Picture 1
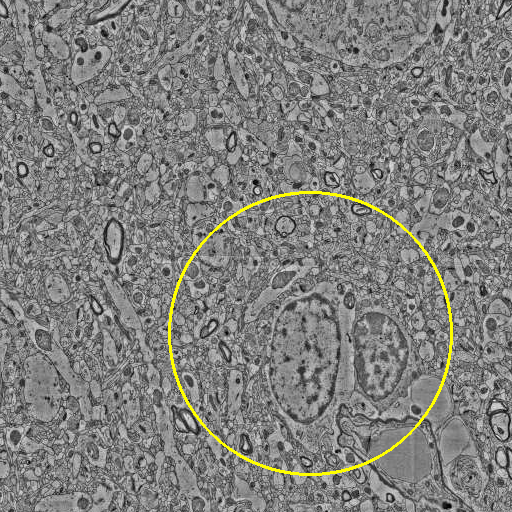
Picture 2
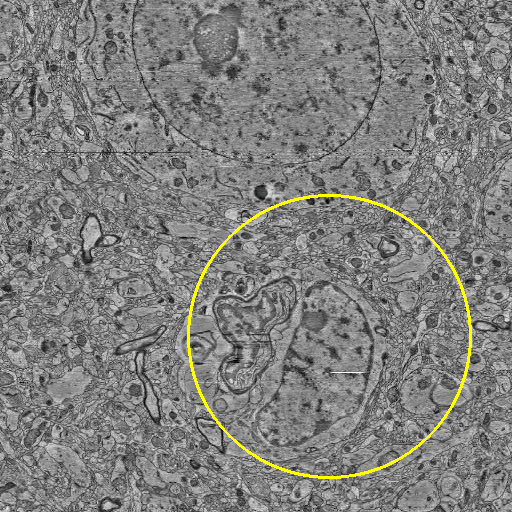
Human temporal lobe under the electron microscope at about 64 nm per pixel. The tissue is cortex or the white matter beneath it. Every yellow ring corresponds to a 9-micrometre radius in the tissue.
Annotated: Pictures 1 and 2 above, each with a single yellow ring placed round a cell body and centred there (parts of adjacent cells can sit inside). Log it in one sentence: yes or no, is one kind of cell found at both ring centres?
Yes, the ring centres of the two pictures hold cells of one kind.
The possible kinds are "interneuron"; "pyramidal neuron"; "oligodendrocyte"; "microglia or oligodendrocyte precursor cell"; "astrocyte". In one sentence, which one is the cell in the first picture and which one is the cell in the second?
In each of the two pictures, the ringed cell is a microglial cell or oligodendrocyte precursor cell.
